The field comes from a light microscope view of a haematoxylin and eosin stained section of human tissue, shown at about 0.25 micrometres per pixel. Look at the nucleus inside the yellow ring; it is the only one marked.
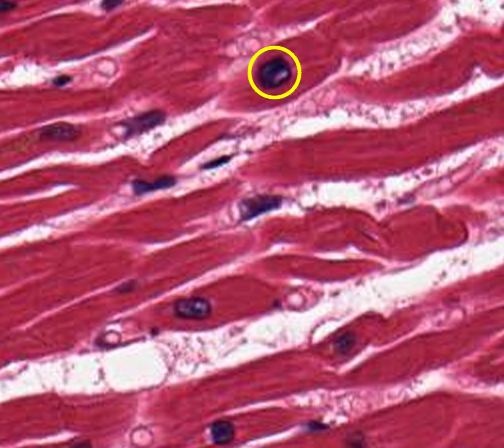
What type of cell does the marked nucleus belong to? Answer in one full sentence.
The marked nucleus is one that belongs to a cardiomyocyte.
